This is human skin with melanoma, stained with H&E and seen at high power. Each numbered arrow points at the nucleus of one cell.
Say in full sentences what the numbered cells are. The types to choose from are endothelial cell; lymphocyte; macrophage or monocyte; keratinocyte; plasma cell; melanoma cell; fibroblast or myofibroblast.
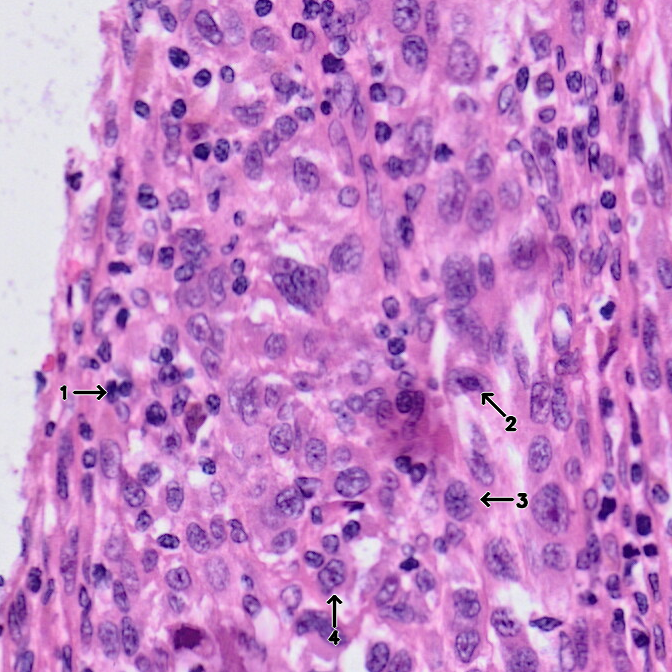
Cell 1 is a lymphocyte. Cells 2, 3 and 4 are melanoma cells.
